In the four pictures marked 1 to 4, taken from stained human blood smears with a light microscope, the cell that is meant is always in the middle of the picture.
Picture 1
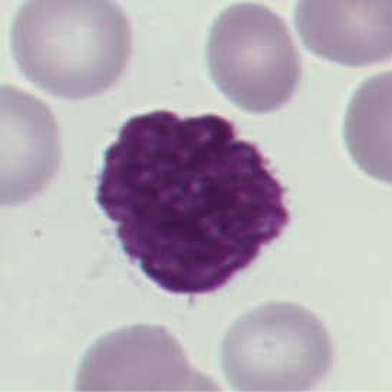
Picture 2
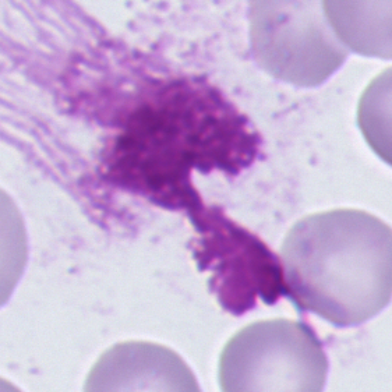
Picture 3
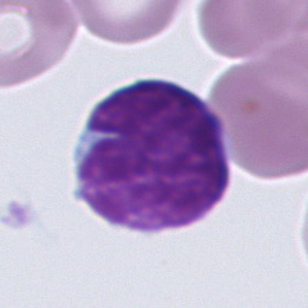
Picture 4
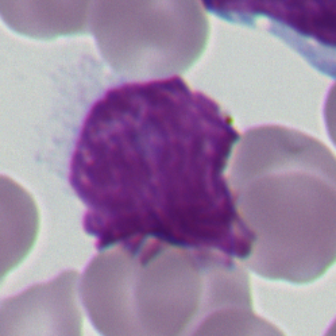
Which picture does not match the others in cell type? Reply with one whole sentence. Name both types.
The different one is picture 3; it shows a typical lymphocyte, whereas all the others show smudge cells.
